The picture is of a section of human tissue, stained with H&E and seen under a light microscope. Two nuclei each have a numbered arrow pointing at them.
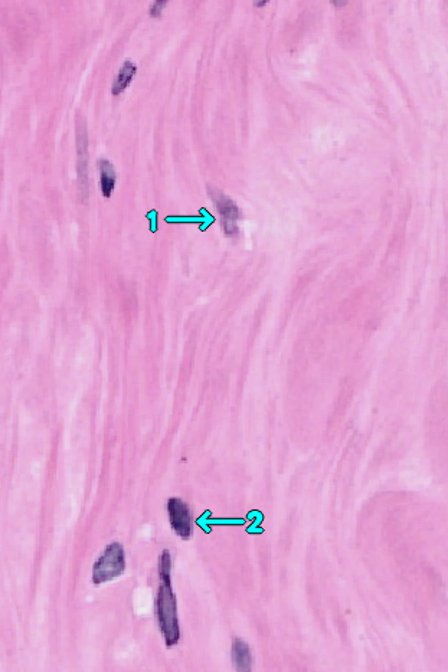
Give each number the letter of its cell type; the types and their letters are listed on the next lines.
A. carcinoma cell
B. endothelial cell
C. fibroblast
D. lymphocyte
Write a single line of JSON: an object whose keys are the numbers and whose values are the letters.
{"1": "C", "2": "D"}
